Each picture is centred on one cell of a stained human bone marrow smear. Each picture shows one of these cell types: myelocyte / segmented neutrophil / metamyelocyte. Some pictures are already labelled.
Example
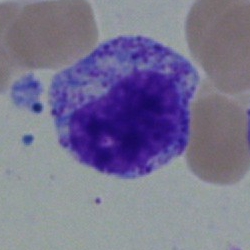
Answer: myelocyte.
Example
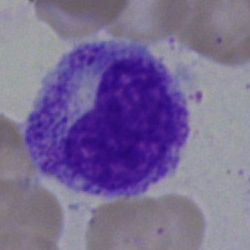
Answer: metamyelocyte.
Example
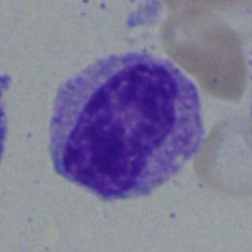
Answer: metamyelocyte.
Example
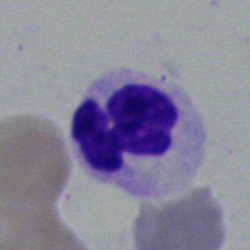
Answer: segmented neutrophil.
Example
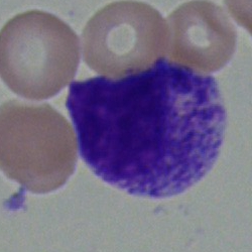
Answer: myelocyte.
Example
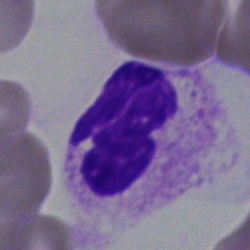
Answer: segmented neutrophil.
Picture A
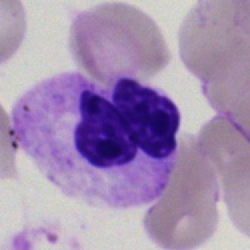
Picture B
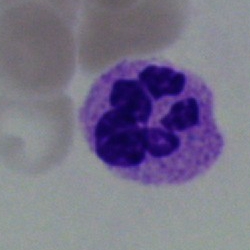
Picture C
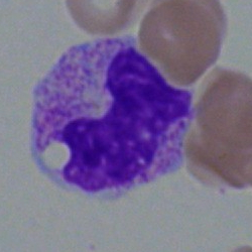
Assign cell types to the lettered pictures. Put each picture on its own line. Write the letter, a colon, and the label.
A: segmented neutrophil.
B: segmented neutrophil.
C: metamyelocyte.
